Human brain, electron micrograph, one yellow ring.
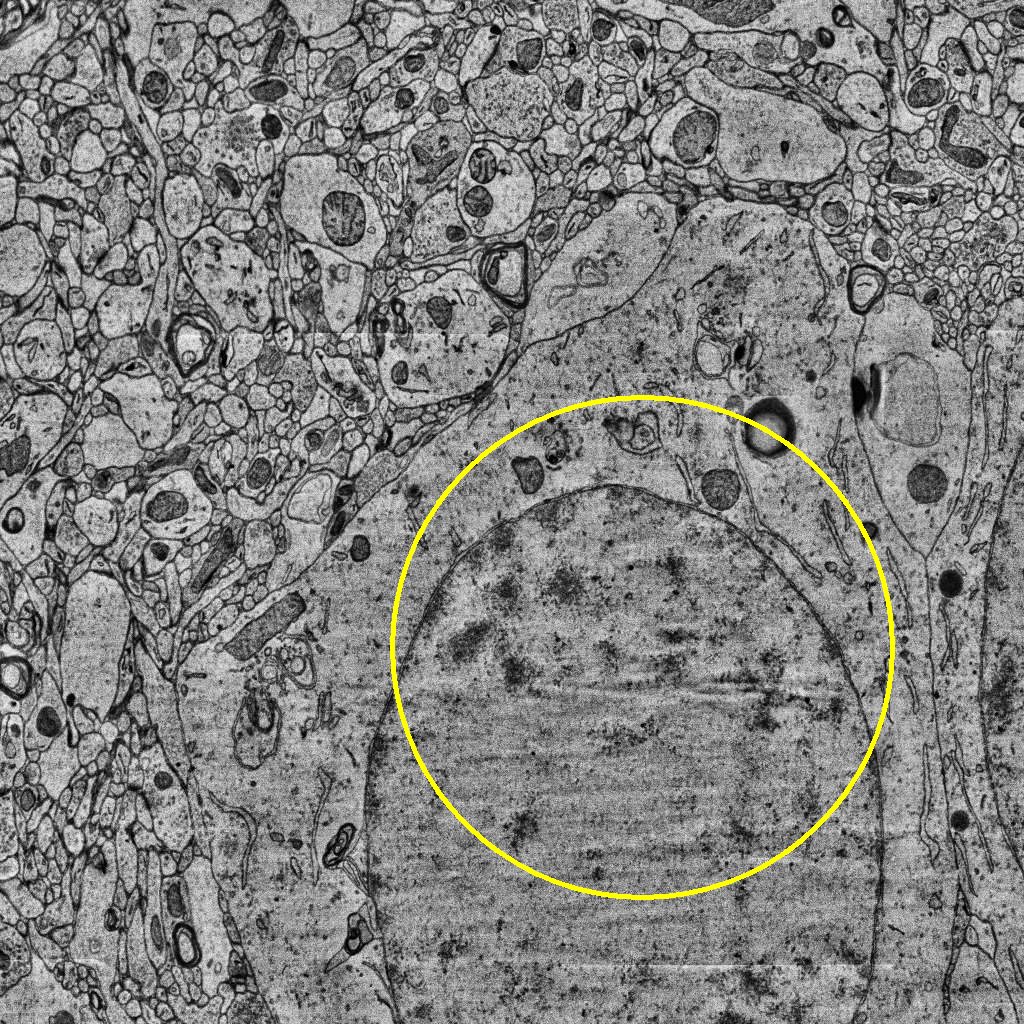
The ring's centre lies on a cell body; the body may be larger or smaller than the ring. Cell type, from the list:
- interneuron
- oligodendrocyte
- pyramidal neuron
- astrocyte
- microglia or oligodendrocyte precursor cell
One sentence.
The yellow ring's centre lies on a pyramidal neuron.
